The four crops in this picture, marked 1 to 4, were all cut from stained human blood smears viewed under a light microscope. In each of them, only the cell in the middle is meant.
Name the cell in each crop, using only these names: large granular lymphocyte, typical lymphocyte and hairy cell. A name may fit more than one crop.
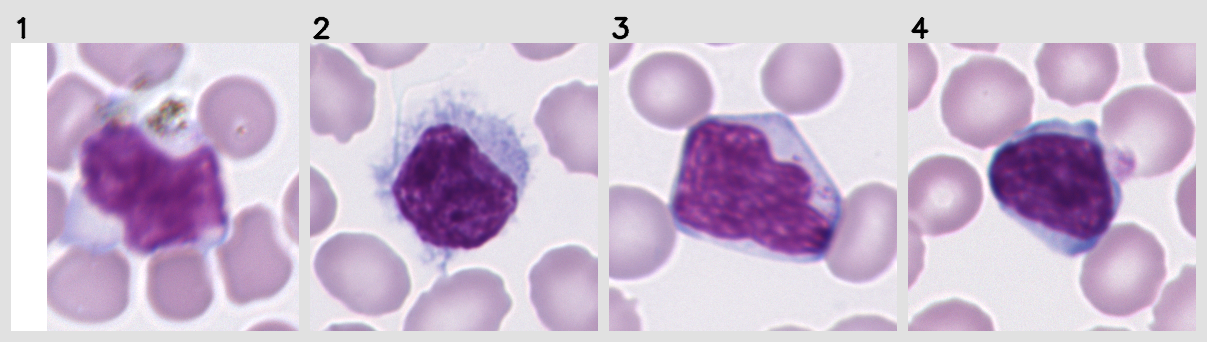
1: typical lymphocyte
2: hairy cell
3: large granular lymphocyte
4: typical lymphocyte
